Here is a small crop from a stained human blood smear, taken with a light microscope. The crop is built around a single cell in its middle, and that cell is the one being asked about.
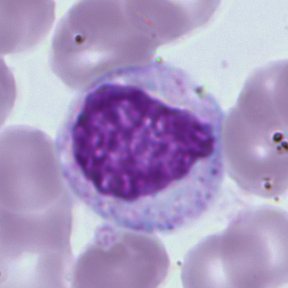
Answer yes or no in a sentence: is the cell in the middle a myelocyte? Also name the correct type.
Yes, this central cell is a myelocyte.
